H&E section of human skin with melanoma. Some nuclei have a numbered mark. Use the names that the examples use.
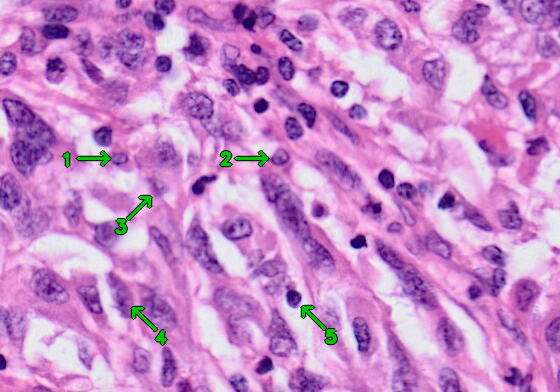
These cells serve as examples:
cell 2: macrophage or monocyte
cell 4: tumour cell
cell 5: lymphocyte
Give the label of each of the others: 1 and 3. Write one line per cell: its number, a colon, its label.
1: macrophage or monocyte
3: tumour cell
